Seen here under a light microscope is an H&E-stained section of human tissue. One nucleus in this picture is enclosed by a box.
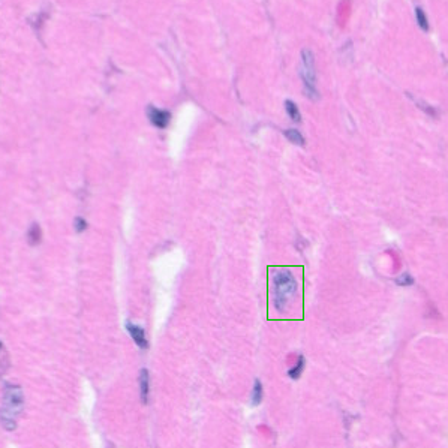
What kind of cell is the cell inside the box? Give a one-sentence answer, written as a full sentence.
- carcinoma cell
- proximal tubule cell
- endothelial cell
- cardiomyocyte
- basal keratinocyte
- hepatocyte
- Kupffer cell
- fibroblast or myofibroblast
Within the stained tissue, the cell inside the box is a cardiomyocyte.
